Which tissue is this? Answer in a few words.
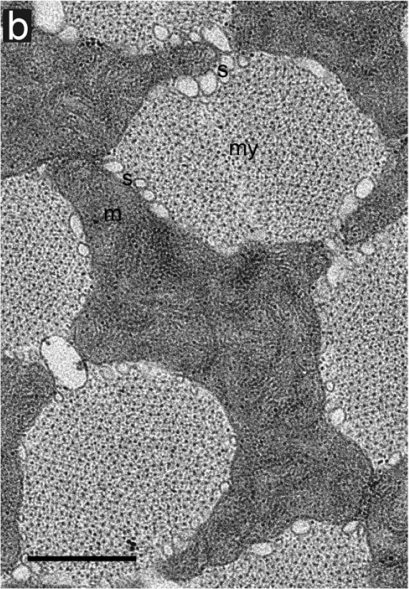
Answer: Flight muscle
